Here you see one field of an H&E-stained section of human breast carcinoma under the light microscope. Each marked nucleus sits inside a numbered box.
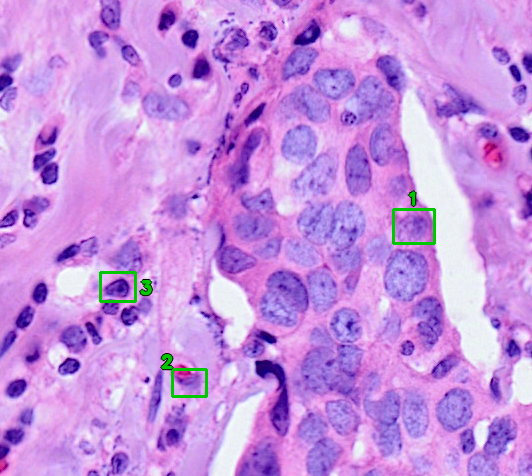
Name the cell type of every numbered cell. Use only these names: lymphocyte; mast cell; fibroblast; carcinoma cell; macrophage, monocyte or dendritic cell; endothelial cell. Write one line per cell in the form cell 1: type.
cell 1: carcinoma cell
cell 2: endothelial cell
cell 3: lymphocyte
